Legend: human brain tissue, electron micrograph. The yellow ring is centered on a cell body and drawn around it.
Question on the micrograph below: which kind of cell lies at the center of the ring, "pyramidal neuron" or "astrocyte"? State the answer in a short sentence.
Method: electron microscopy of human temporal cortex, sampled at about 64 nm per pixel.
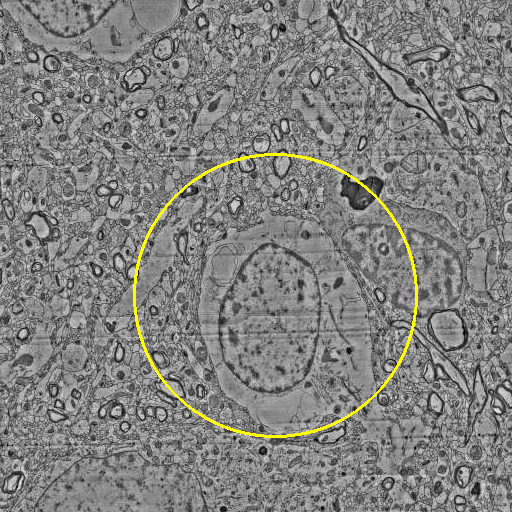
At the center of the ring lies an astrocyte.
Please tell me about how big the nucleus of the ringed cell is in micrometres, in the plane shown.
In this plane the nucleus measures roughly 9 by 6 micrometres.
